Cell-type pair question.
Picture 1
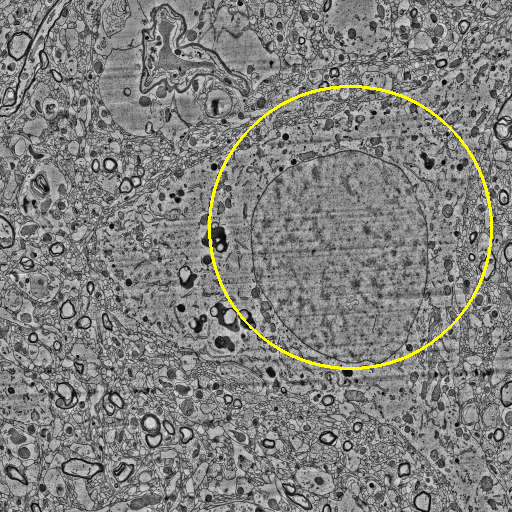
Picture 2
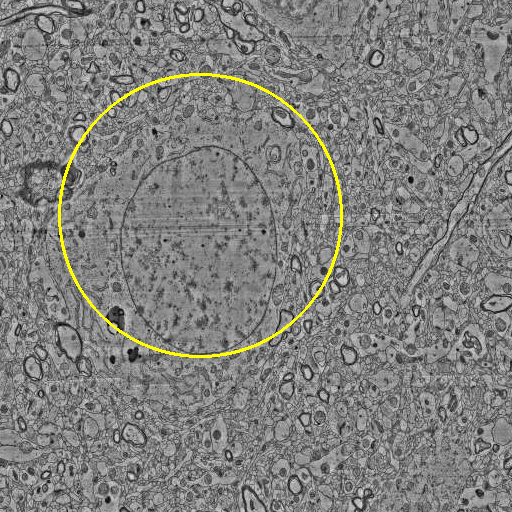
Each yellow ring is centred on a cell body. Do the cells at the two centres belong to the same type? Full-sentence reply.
Yes, the two cells belong to the same type.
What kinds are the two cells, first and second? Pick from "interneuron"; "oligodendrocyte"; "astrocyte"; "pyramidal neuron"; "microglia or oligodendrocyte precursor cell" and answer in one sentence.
Each of the ringed cells, first and second, is a pyramidal neuron.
